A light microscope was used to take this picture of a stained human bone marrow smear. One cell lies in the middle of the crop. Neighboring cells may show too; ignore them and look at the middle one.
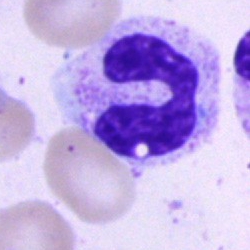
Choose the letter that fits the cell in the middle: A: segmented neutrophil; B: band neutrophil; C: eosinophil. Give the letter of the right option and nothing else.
B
